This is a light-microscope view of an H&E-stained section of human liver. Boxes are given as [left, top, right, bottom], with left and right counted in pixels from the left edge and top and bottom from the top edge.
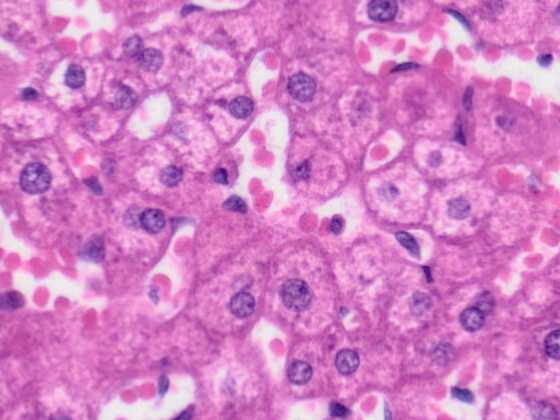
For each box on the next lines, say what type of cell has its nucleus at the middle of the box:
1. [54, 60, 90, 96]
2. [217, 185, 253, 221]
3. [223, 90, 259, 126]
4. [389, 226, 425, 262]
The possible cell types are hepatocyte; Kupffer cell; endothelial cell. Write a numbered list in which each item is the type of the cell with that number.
1. hepatocyte
2. endothelial cell
3. hepatocyte
4. Kupffer cell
